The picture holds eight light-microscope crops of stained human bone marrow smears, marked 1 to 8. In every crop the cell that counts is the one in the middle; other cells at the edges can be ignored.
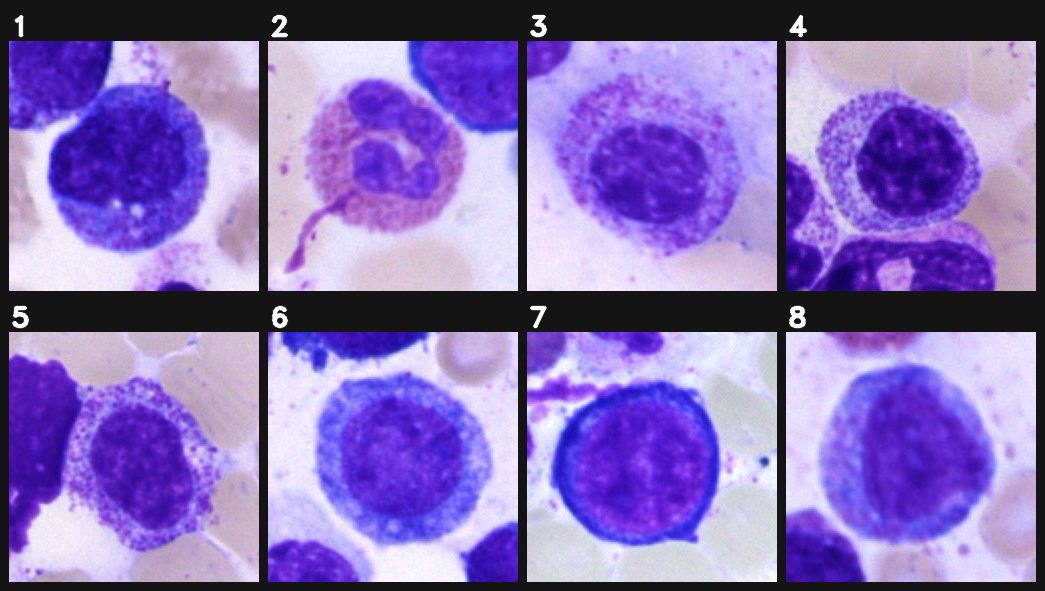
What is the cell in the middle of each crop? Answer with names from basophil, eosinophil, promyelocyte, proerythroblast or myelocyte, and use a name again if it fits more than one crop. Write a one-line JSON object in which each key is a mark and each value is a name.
{"1": "promyelocyte", "2": "eosinophil", "3": "myelocyte", "4": "myelocyte", "5": "myelocyte", "6": "promyelocyte", "7": "proerythroblast", "8": "promyelocyte"}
